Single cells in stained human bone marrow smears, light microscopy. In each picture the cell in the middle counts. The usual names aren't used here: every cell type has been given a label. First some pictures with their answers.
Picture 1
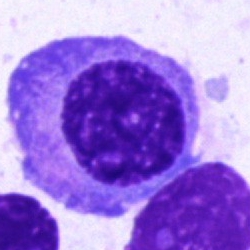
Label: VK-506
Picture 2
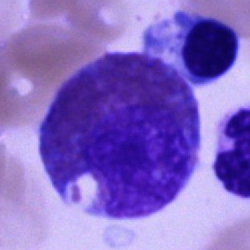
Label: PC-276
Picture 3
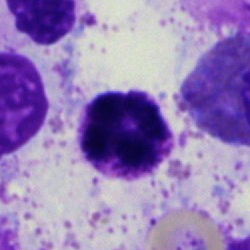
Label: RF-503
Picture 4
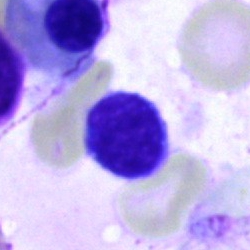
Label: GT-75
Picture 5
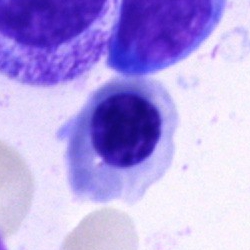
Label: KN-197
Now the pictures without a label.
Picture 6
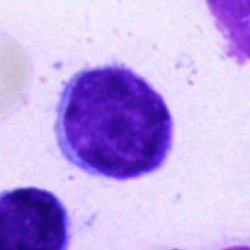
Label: GT-75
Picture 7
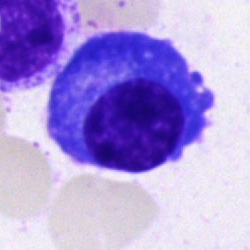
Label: VK-506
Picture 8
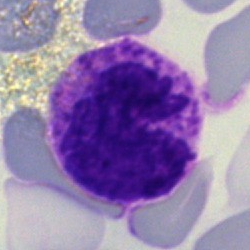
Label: RF-503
